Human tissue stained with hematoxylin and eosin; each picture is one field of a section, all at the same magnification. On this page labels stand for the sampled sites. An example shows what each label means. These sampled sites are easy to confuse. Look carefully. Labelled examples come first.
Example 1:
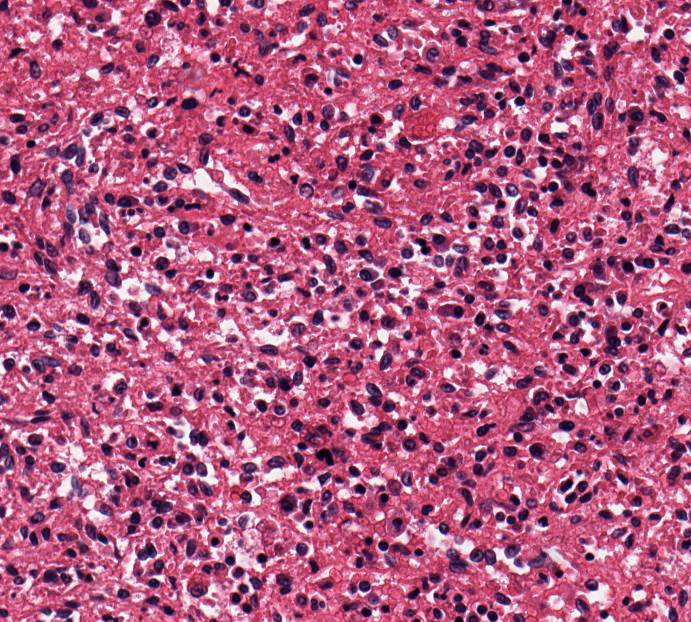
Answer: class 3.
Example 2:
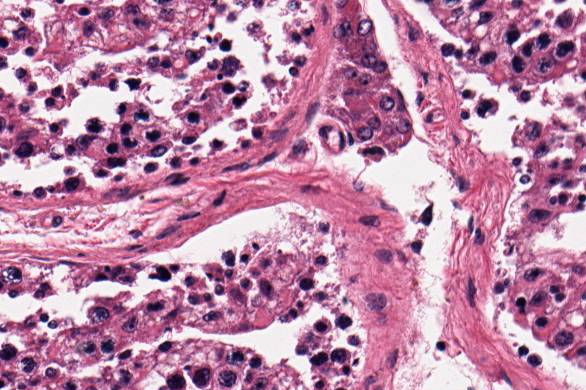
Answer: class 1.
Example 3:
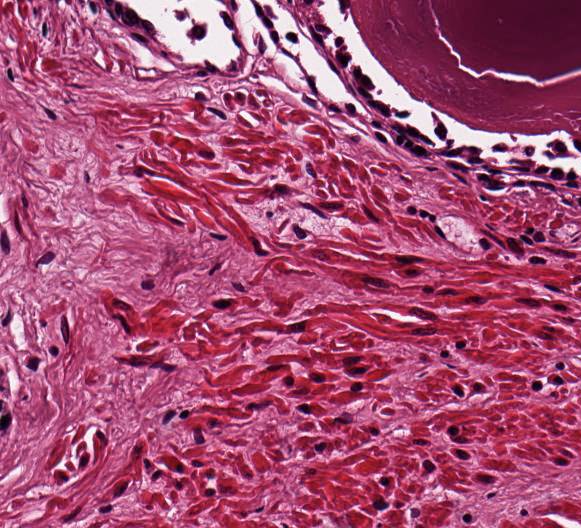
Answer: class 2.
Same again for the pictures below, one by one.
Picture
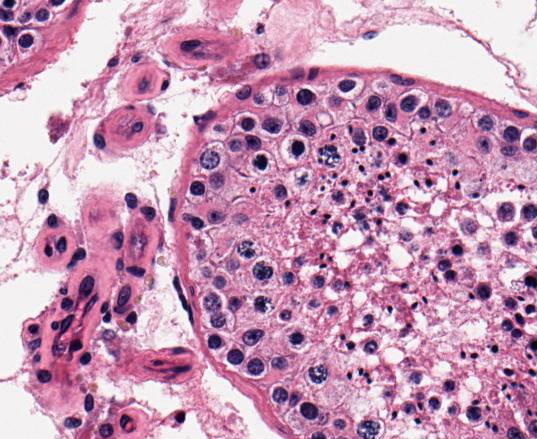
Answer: class 1.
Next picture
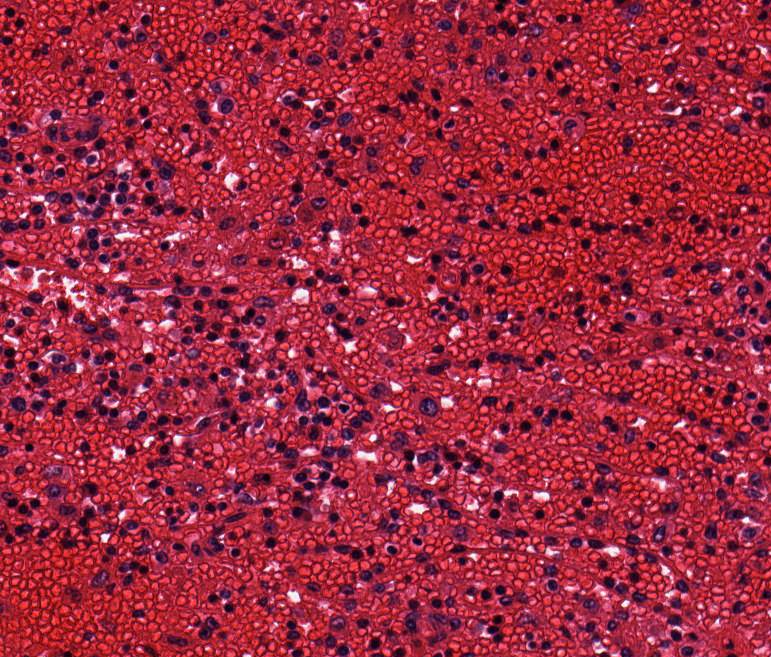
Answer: class 3.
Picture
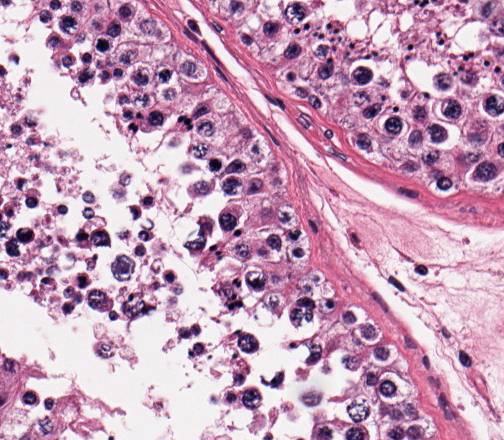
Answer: class 1.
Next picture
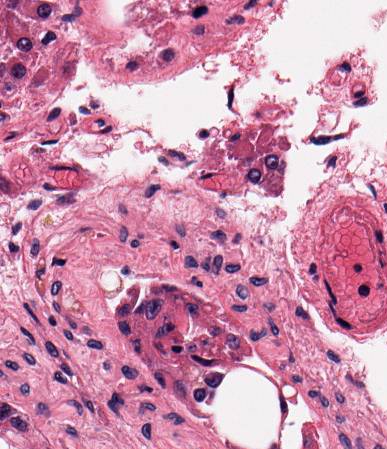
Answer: class 1.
